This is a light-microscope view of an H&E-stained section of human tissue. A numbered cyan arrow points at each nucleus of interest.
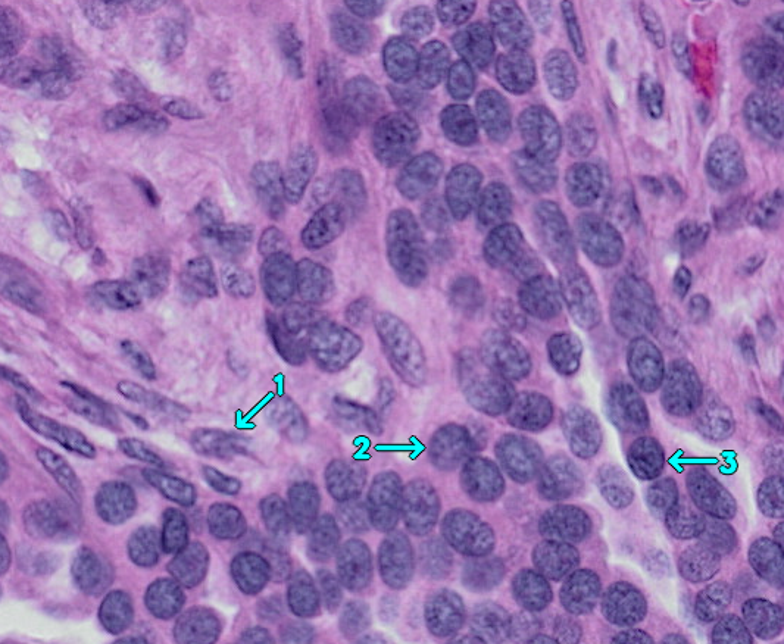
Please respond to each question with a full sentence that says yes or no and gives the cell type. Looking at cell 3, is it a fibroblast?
No. Cell number 3 is a carcinoma cell, not a fibroblast.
